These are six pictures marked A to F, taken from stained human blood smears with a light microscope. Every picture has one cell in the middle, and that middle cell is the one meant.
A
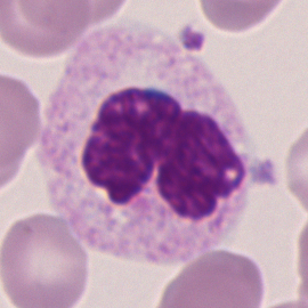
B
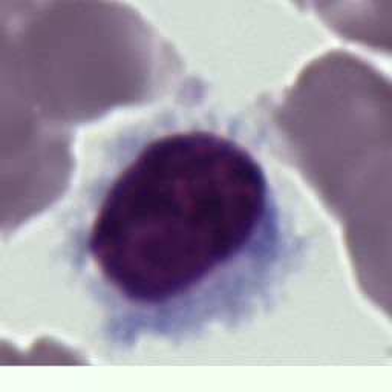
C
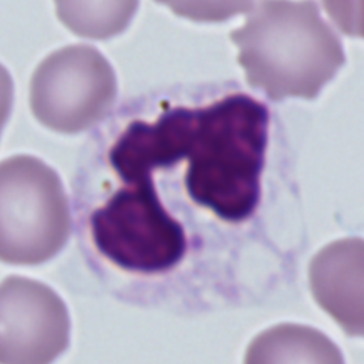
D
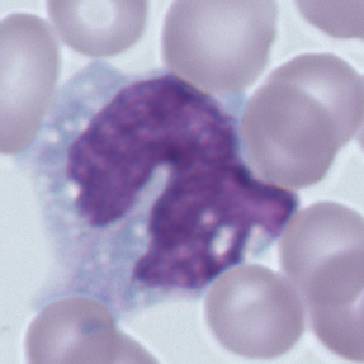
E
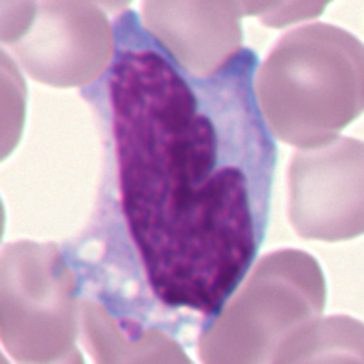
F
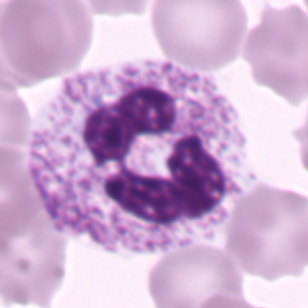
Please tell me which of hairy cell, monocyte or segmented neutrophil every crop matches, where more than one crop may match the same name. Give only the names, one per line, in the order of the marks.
segmented neutrophil
hairy cell
segmented neutrophil
monocyte
monocyte
segmented neutrophil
